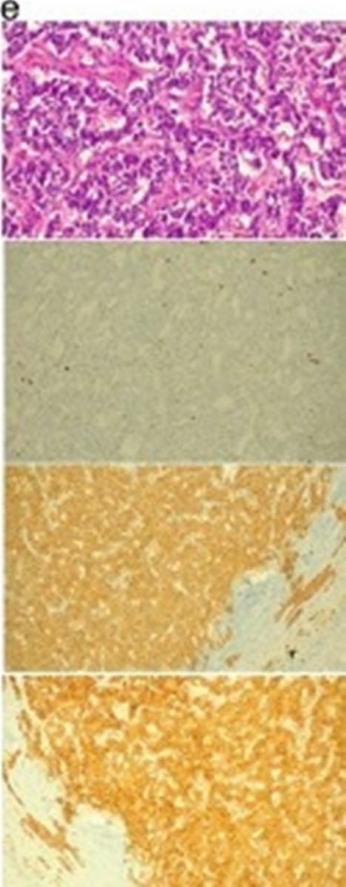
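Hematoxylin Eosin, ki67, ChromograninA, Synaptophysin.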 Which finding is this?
Typical carcinoid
